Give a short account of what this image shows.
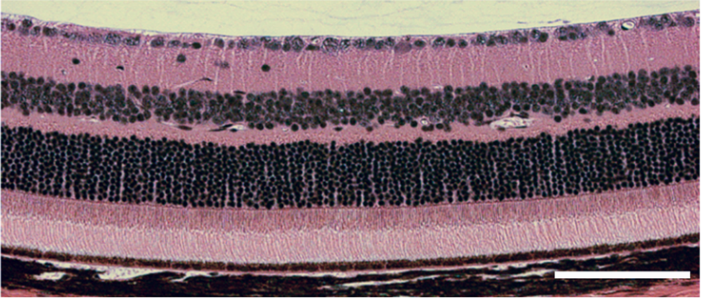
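A cross-section of retina shows its layers stacked in parallel bands. Along the top, facing the pale empty vitreous, lies a sparse row of larger nuclei. Beneath it a broad pink fibrous band separates them from a band of several rows of rounded nuclei. A thin pink band follows, and then the outer nuclear layer, the thickest band, made of many tightly packed rows of small, round, very dark nuclei. Below this the pale pink, finely striated band of photoreceptor segments runs down to a dark pigmented line, beneath which lies loose dark-pigmented tissue.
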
